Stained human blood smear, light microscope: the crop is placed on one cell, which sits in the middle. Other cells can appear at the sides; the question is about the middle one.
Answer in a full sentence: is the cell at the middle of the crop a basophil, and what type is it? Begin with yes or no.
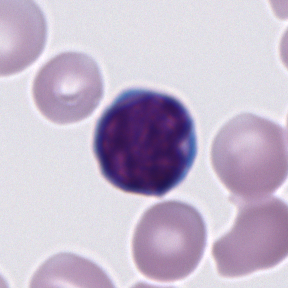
No, the middle cell is classified as a typical lymphocyte and not as a basophil.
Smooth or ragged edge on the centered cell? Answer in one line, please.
From every side, the cell boundary is smooth and free of projections.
